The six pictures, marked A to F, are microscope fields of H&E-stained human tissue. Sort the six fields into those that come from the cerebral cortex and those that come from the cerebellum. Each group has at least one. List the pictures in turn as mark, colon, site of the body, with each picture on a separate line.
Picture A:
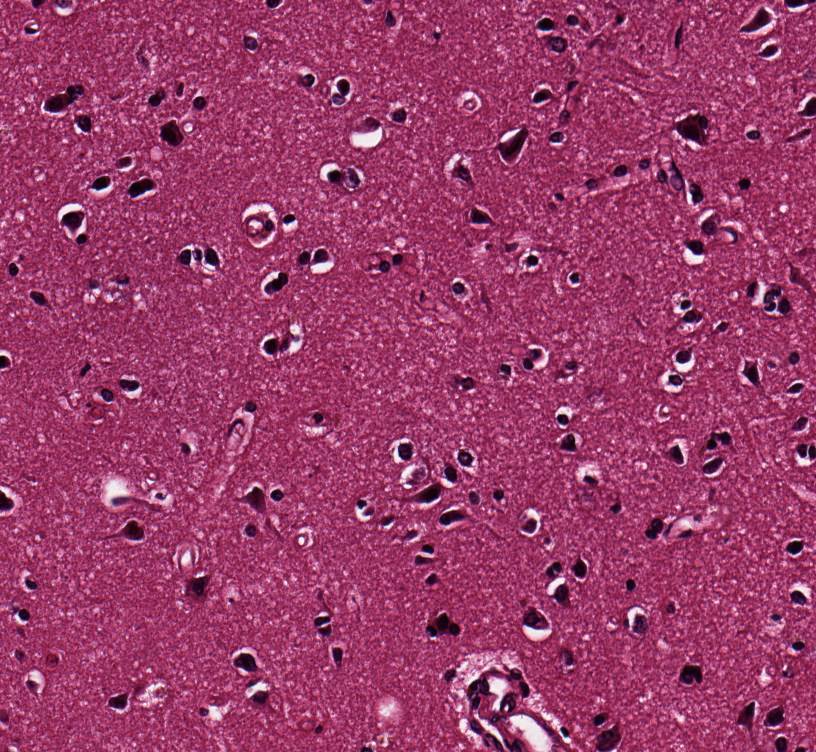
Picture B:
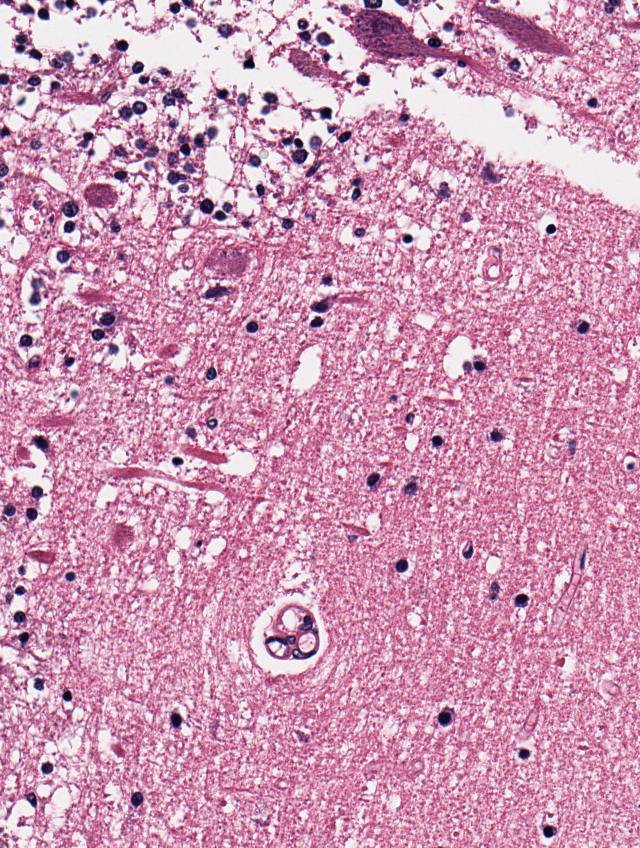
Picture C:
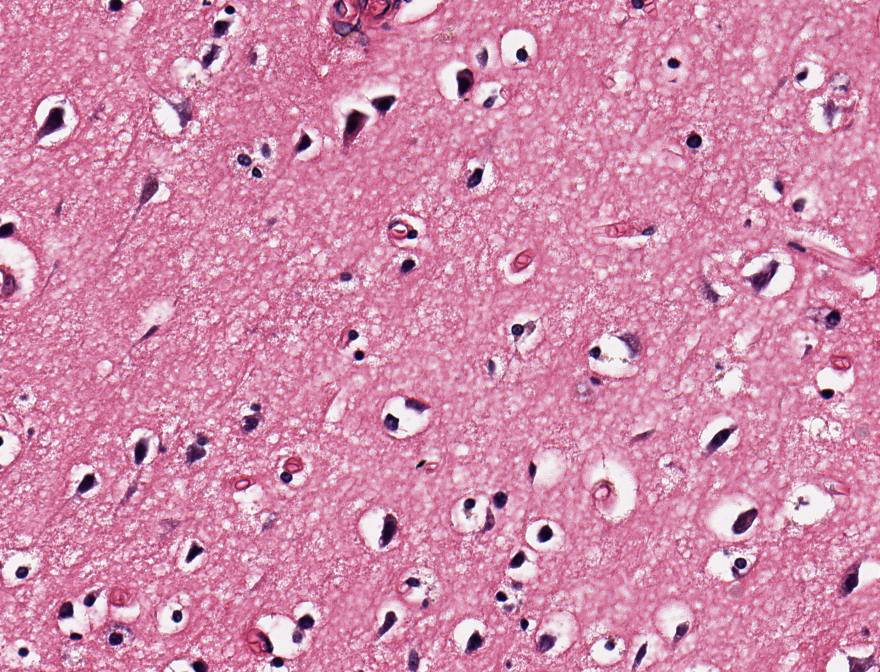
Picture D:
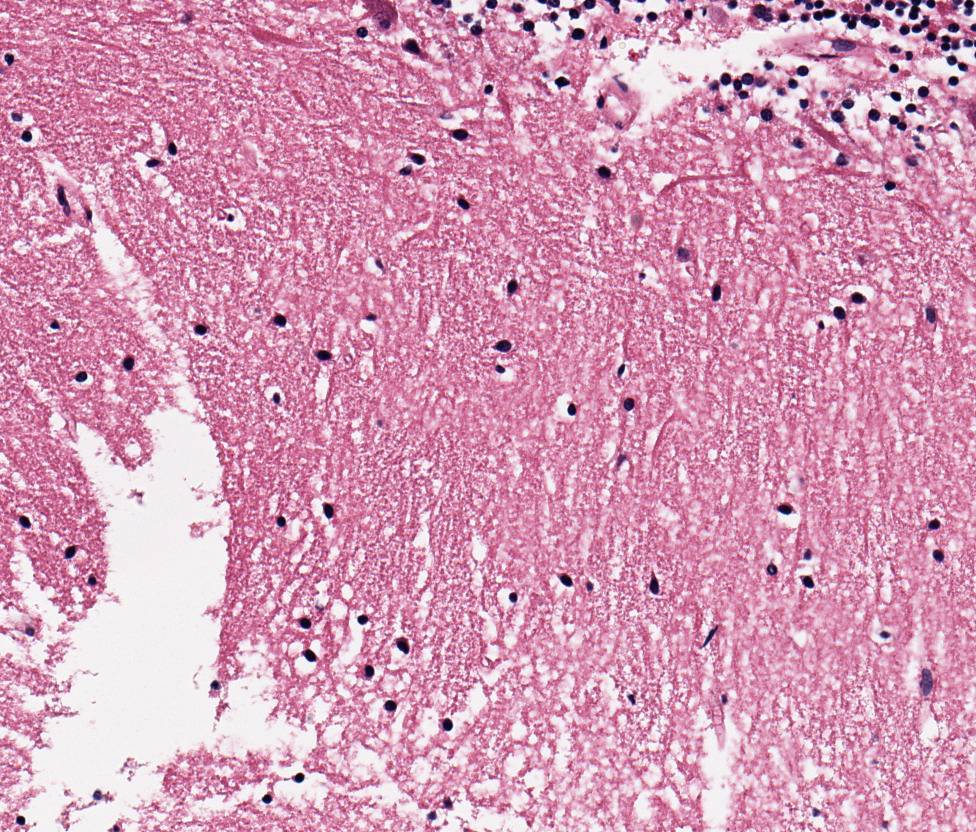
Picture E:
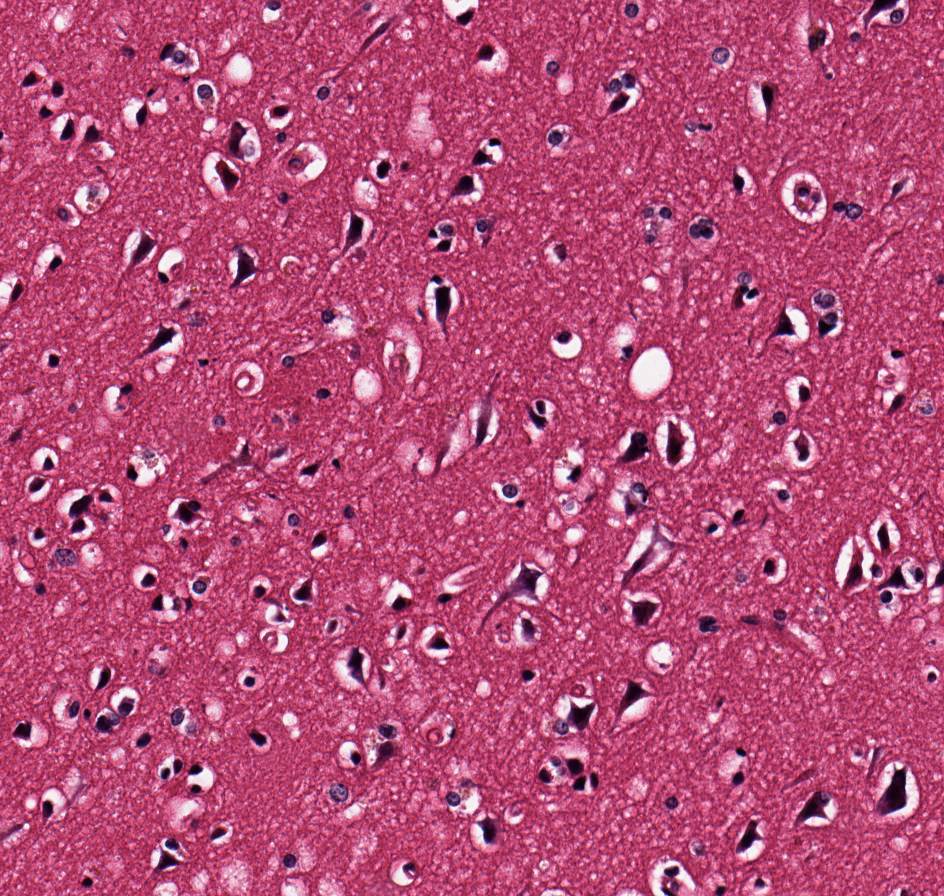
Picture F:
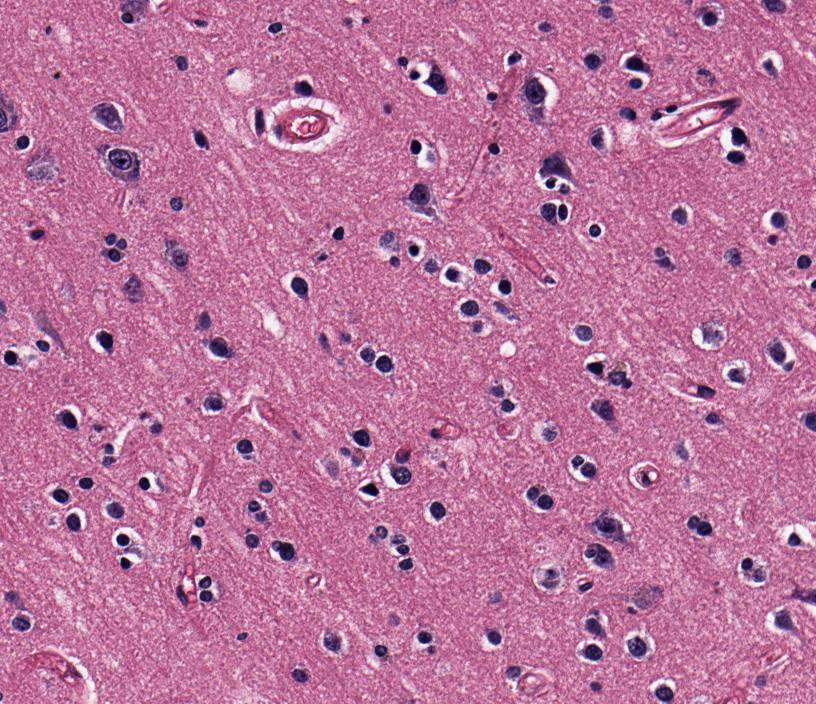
A: cerebral cortex
B: cerebellum
C: cerebral cortex
D: cerebellum
E: cerebral cortex
F: cerebral cortex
